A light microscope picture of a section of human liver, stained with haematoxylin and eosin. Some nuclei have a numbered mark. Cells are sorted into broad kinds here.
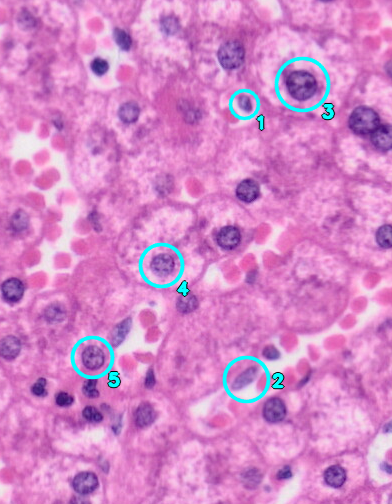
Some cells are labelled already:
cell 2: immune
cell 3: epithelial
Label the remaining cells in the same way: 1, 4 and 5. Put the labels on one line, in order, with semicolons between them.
immune; epithelial; epithelial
